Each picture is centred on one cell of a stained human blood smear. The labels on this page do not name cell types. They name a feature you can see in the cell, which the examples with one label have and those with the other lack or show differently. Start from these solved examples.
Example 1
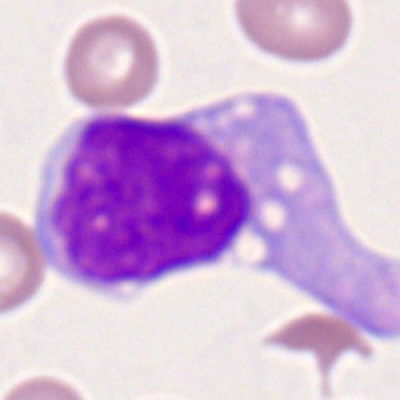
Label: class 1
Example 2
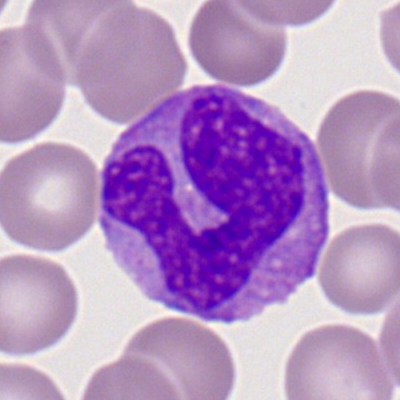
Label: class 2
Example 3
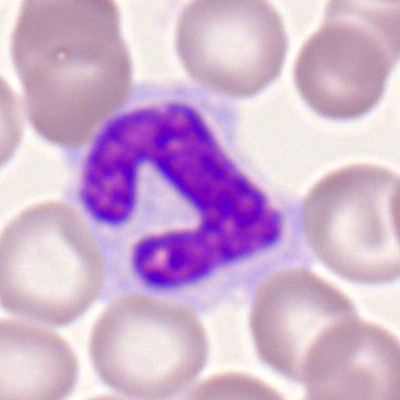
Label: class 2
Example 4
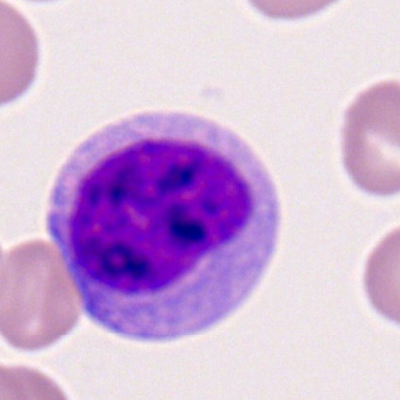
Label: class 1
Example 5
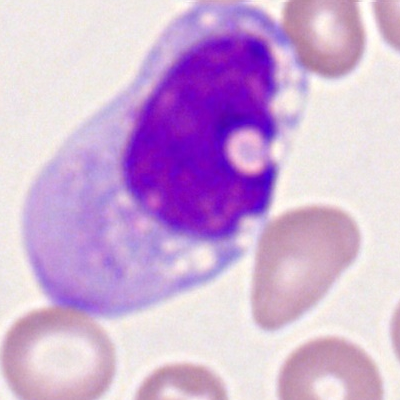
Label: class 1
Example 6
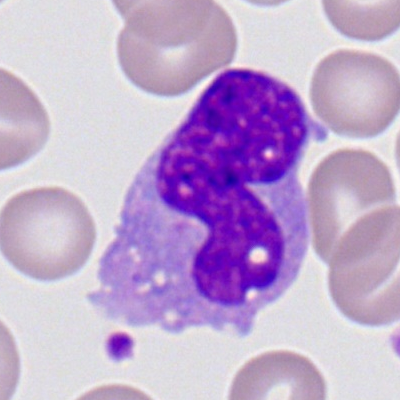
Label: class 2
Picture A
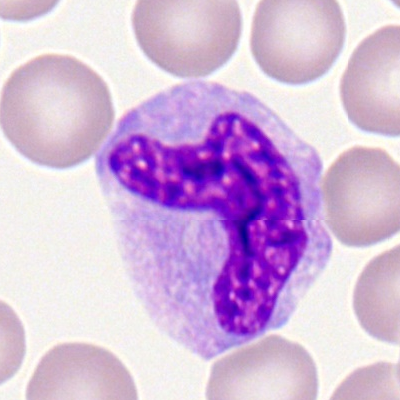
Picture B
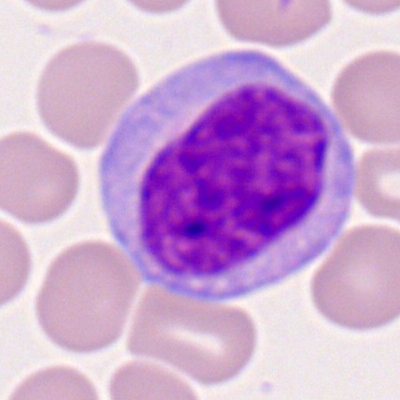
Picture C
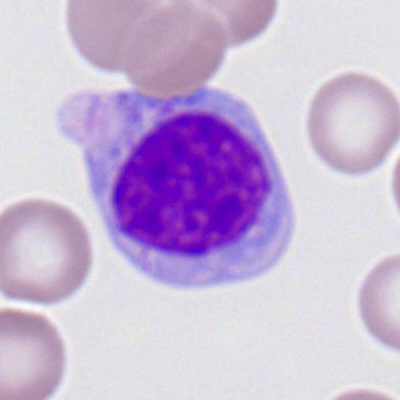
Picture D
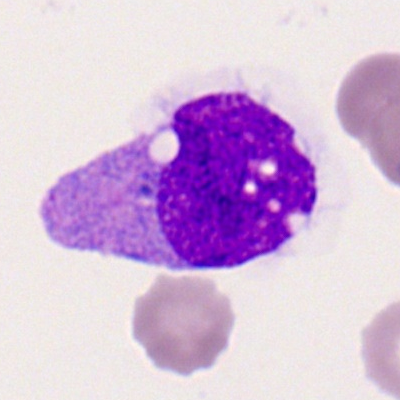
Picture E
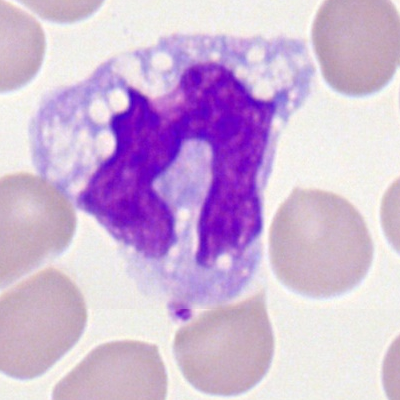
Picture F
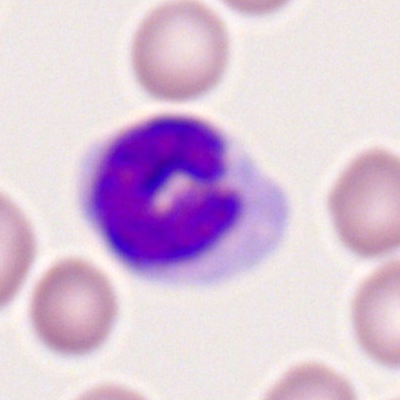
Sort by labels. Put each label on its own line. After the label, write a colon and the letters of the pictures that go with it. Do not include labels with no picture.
class 1: B, C, D
class 2: A, E, F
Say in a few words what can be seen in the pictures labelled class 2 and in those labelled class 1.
Seen in class 2: band-shaped nucleus; seen in class 1: round or oval nucleus.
